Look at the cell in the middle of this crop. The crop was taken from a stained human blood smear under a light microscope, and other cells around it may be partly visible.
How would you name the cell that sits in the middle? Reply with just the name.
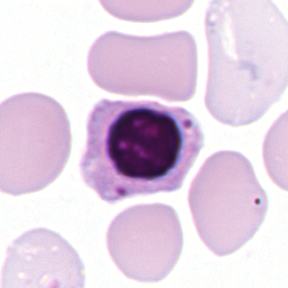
normoblast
